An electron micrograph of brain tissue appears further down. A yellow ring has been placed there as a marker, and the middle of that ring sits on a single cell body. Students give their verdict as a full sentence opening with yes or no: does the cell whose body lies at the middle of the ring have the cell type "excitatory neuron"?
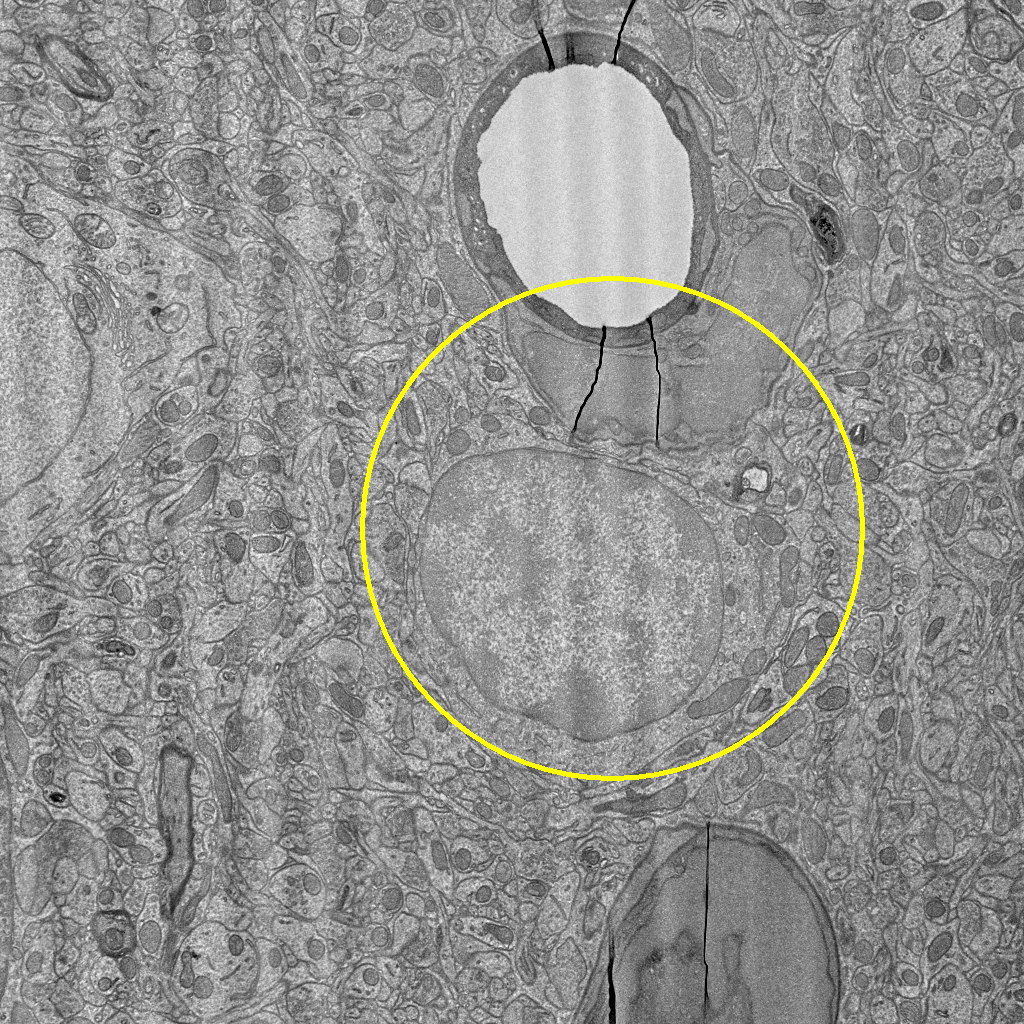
No, in this picture the cell whose body holds the ring's middle has a different cell type.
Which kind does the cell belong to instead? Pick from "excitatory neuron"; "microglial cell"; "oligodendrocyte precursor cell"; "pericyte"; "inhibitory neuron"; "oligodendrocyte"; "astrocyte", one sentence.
The cell enclosed by the ring is an oligodendrocyte.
